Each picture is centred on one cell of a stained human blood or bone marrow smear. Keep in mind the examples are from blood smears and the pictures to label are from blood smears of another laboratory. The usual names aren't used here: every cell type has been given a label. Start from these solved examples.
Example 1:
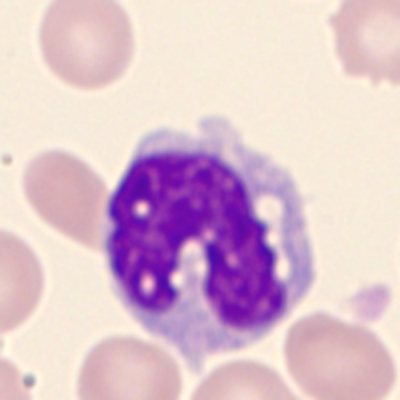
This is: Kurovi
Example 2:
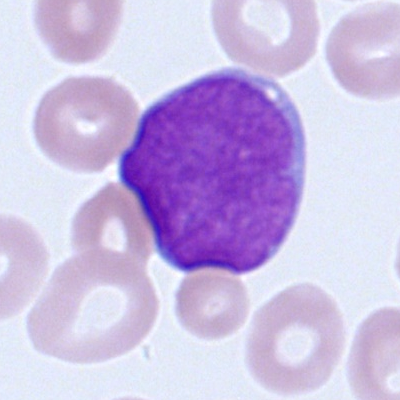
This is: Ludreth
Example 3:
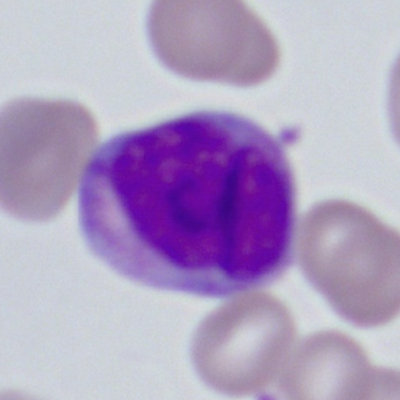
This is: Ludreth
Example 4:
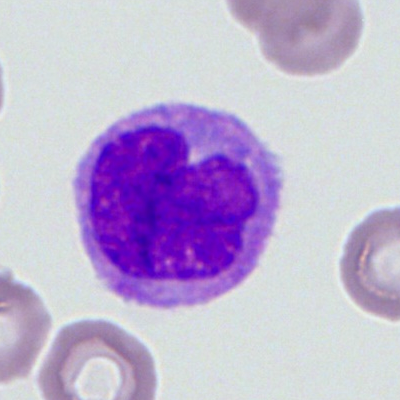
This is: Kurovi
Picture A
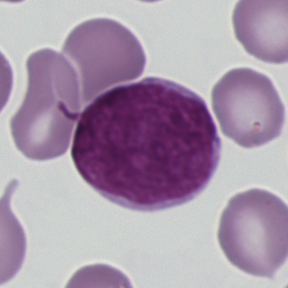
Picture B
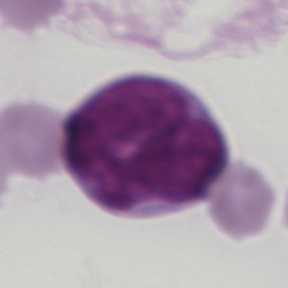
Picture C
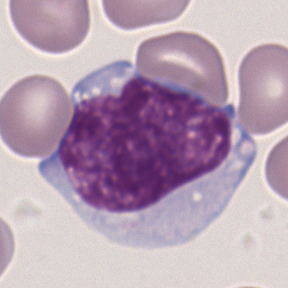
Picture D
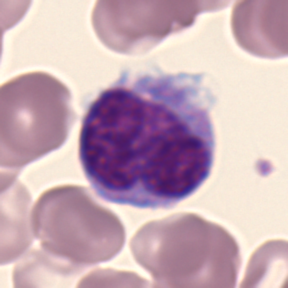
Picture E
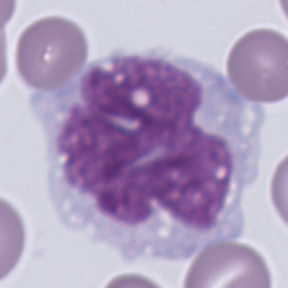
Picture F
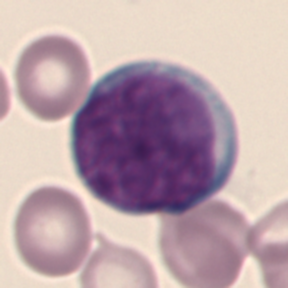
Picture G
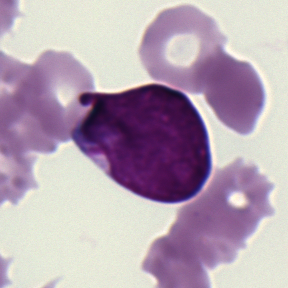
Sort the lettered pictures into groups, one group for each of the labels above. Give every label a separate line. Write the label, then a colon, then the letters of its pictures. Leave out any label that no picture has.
Kurovi: D, E
Ludreth: A, B, C, F, G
